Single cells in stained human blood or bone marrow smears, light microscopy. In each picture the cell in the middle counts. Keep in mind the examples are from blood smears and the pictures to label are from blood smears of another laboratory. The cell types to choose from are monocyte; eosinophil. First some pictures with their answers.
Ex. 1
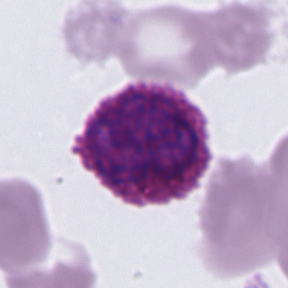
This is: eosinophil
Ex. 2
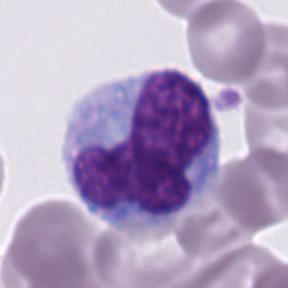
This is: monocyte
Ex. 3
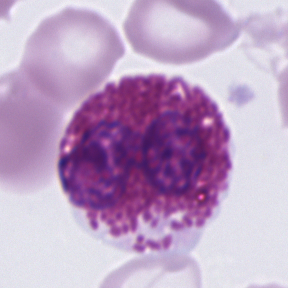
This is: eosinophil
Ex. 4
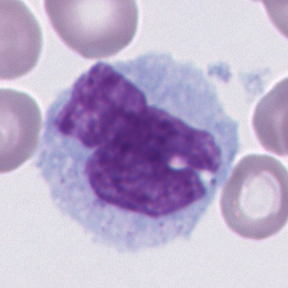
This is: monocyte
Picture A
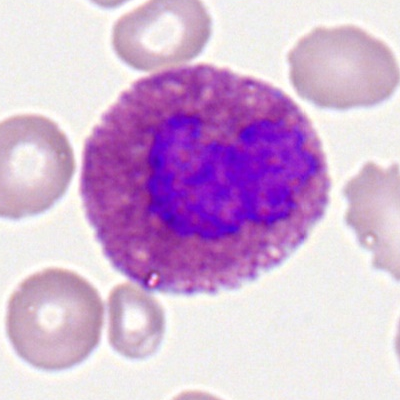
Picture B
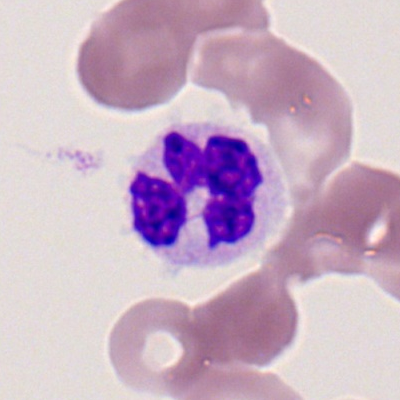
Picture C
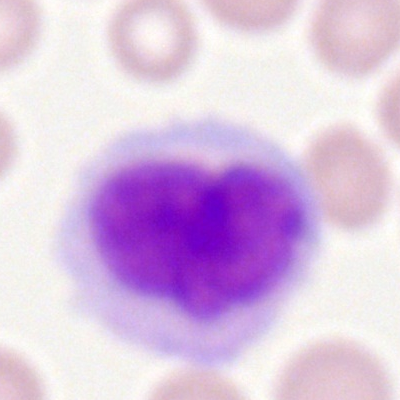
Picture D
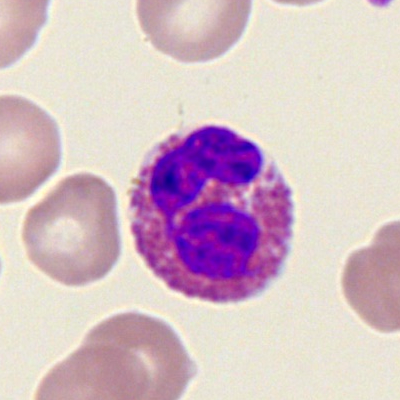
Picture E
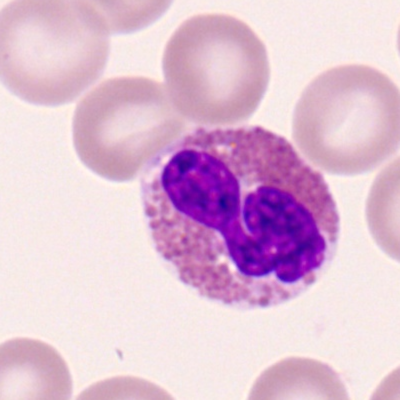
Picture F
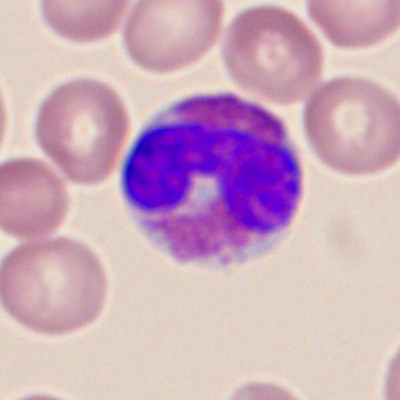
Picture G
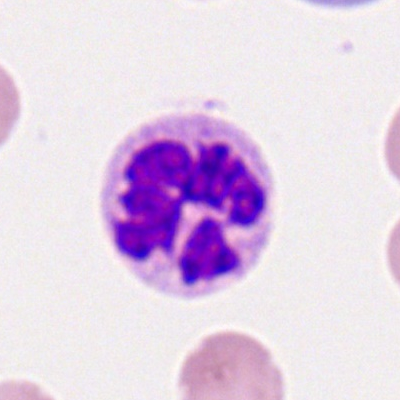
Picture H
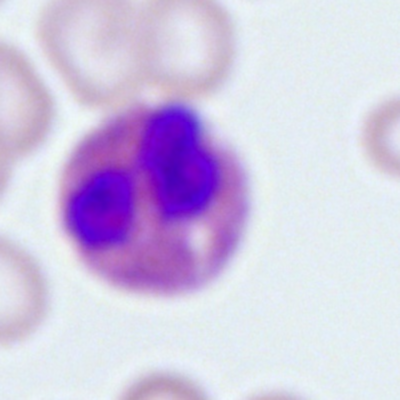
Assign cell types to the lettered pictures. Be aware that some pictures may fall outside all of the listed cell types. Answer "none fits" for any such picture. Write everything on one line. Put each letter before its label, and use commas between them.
A eosinophil, B none fits, C monocyte, D eosinophil, E eosinophil, F eosinophil, G none fits, H eosinophil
